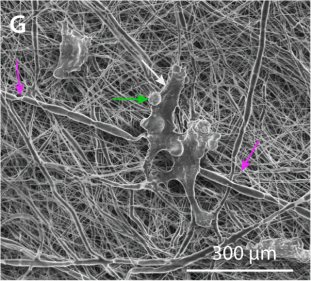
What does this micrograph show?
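Scanning electron micrograph of a few cells lying on a dense, random mesh of thin, smooth fibers. Near the centre one irregular cell body sits on top of the mesh, with several blunt and slender processes spreading out over the fibers; a smaller rounded cell lies close to it at the upper end. Another flattened cell with ragged outlines lies above and to the left. Fine processes run out from the cells and follow individual fibers, seeming to wrap along them.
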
